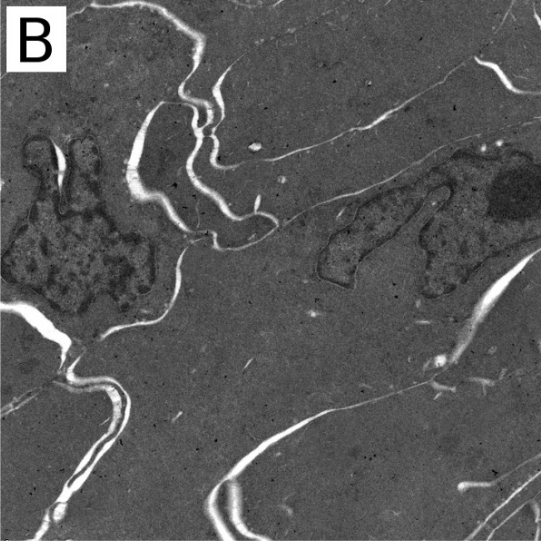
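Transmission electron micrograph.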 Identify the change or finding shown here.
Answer: irregular shapes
